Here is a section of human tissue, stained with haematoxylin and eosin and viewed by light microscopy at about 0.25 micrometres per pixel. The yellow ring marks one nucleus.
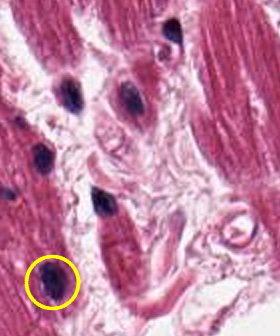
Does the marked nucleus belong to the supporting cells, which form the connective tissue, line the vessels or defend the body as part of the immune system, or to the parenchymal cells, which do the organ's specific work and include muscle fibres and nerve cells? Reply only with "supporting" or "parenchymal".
parenchymal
